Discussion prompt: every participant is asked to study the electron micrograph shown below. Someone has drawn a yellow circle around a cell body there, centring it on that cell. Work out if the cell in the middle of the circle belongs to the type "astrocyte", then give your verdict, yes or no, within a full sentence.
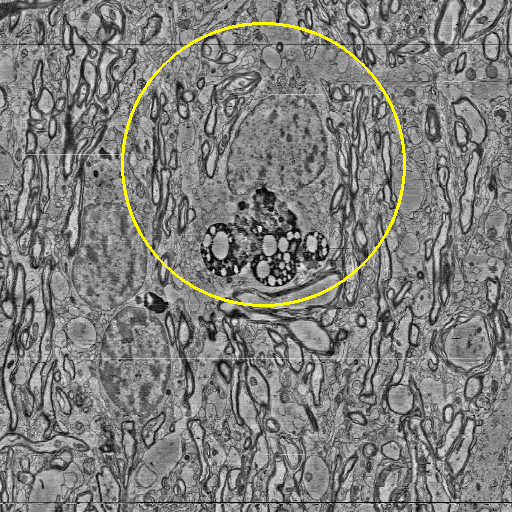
Yes, my verdict is that the cell in the circle's centre is of that type.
